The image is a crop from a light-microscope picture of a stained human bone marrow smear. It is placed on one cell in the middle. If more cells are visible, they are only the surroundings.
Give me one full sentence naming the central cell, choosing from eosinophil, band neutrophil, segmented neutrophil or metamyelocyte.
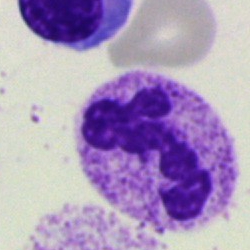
The central element of this crop is a cell, namely a segmented neutrophil.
